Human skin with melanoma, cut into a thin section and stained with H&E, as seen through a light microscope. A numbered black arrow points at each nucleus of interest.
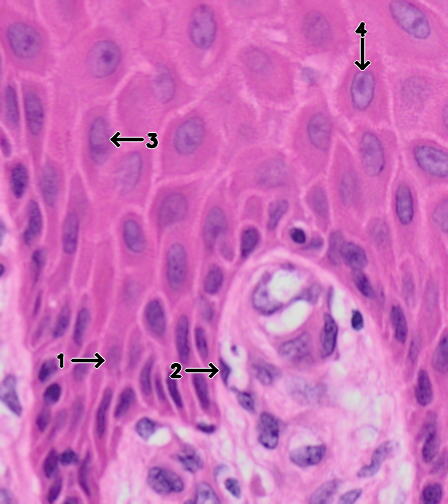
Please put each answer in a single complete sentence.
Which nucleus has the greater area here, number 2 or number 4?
Nucleus 4 is larger, with an area about 2.5 times that of nucleus 2.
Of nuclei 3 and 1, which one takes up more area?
Number 3 is larger; its area is about 2 times that of number 1.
